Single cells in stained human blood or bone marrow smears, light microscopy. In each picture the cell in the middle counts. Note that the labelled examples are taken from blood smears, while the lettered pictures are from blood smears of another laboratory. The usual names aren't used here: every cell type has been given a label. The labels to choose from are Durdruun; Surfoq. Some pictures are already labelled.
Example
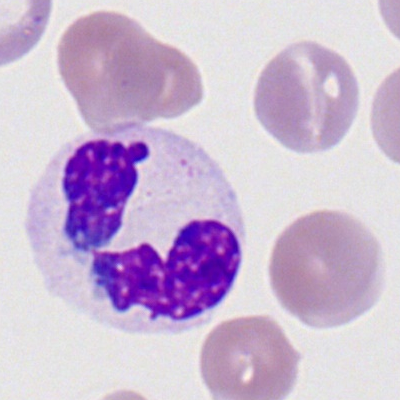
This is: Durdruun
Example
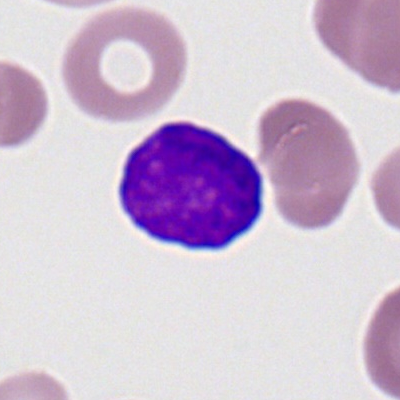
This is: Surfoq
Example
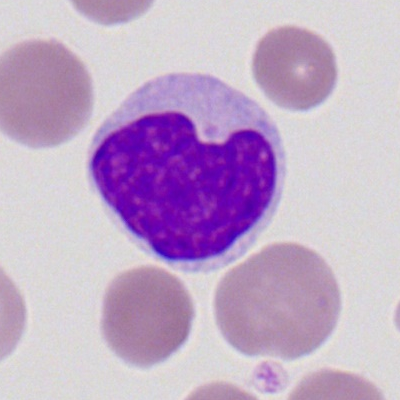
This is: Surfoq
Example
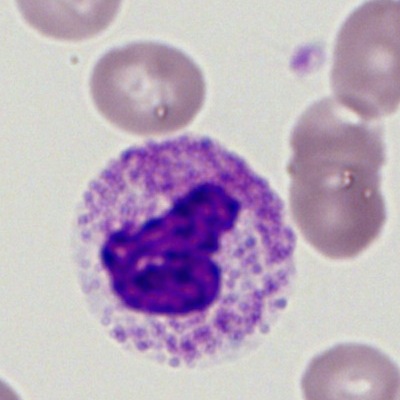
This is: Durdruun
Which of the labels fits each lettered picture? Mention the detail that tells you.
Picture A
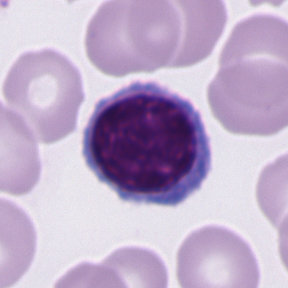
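Answer: Surfoq. The cytoplasm forms only a narrow rim around the nucleus.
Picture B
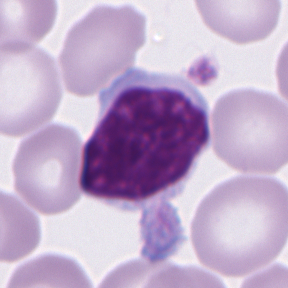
Answer: Surfoq. The cytoplasm is scant and forms only a narrow rim around the nucleus.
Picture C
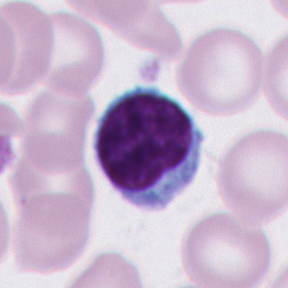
Answer: Surfoq. The cytoplasm is scant and forms a crescent mainly on the lower right of the nucleus.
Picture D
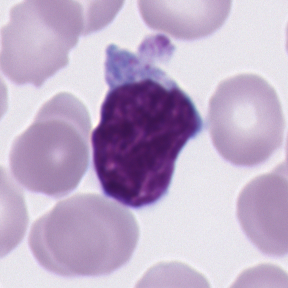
Answer: Surfoq. Cytoplasm is scant and lies mainly as a cap on the upper side of the nucleus.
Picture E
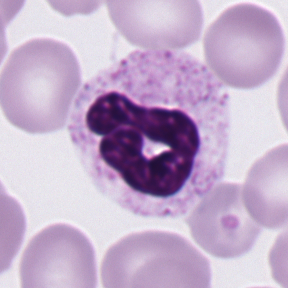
Answer: Durdruun. The cytoplasm is plentiful and pale pinkish-lilac.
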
